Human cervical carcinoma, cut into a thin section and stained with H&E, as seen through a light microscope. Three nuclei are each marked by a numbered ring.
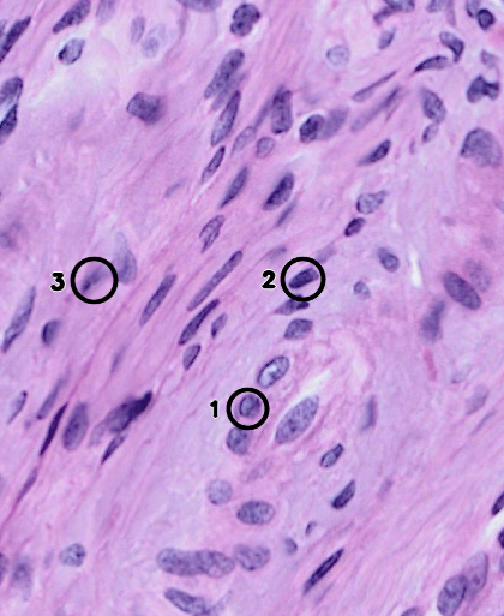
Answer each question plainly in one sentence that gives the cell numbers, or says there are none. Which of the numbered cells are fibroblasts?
The identity of cells 2 and 3: they are fibroblasts.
